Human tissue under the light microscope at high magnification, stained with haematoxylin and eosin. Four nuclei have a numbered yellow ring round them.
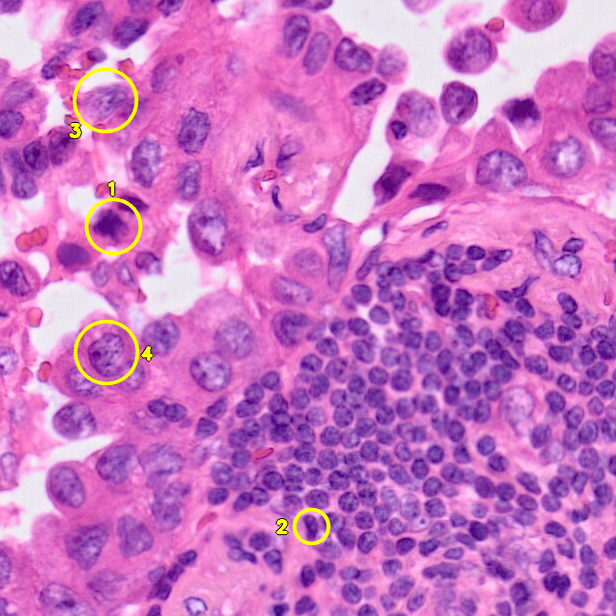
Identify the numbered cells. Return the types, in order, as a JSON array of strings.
["carcinoma cell", "lymphocyte", "carcinoma cell", "carcinoma cell"]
